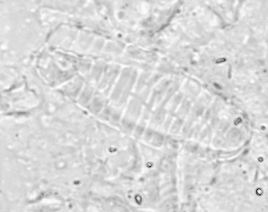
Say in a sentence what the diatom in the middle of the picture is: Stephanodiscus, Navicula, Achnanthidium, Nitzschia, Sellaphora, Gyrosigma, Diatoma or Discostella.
This is Diatoma.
